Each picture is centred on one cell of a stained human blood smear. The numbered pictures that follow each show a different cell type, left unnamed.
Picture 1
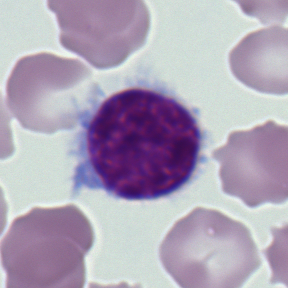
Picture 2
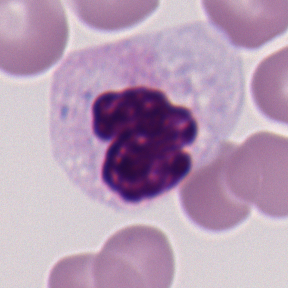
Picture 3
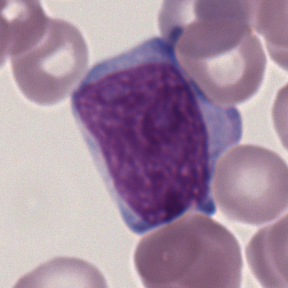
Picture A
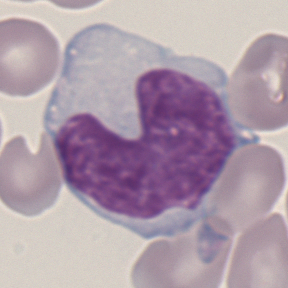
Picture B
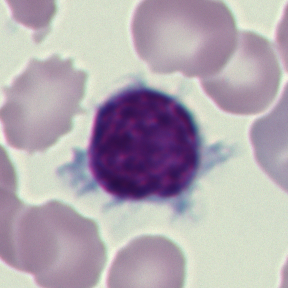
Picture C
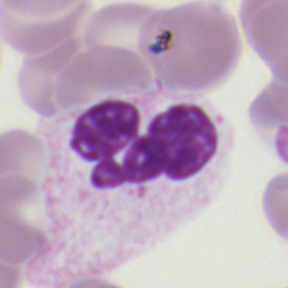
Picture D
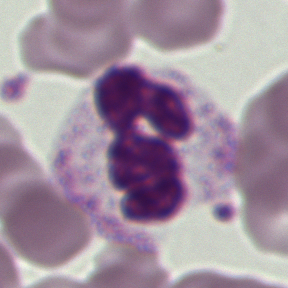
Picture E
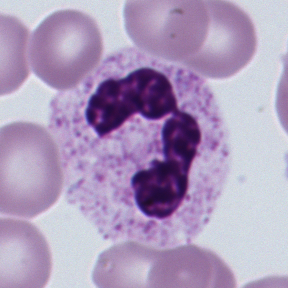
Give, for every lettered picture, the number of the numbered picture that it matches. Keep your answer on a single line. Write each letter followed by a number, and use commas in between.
A 3, B 1, C 2, D 2, E 2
